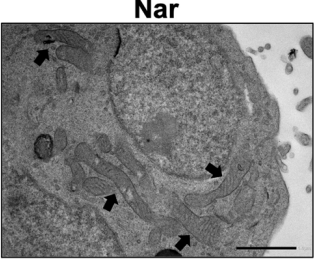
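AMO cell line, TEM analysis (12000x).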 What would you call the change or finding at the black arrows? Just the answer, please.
elongated mitochondria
